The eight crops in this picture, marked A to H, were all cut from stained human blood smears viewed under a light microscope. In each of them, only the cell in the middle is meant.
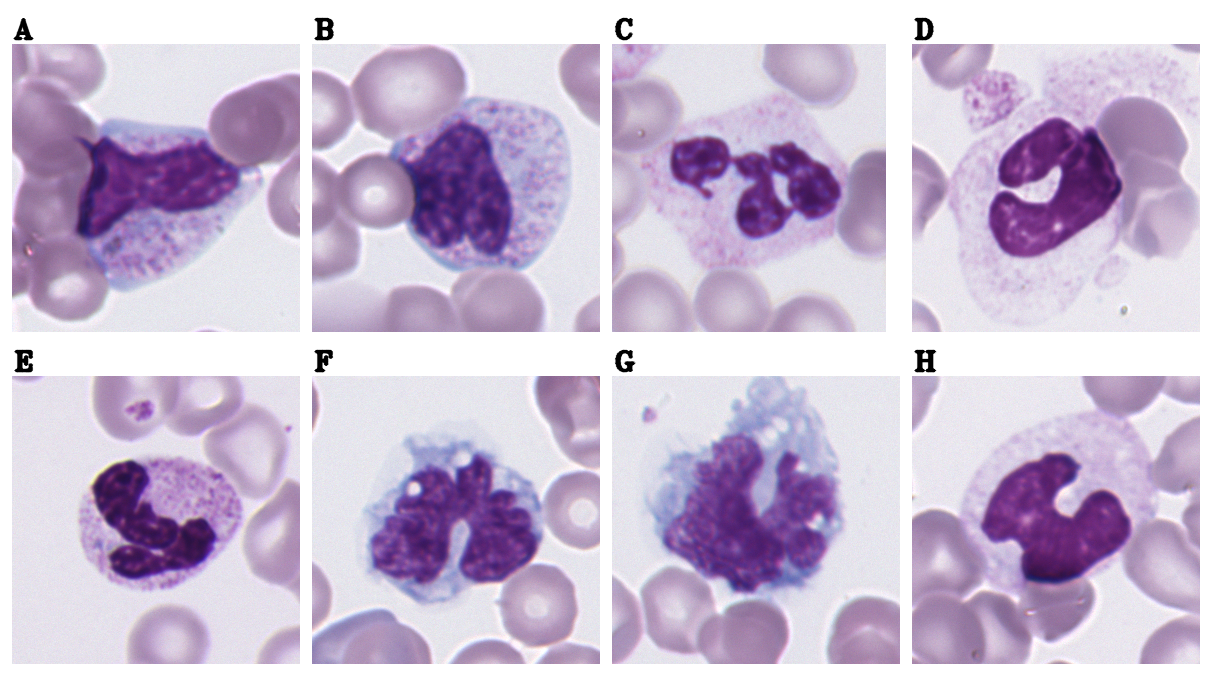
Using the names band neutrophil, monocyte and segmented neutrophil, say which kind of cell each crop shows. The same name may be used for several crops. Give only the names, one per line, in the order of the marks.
band neutrophil
band neutrophil
segmented neutrophil
band neutrophil
segmented neutrophil
monocyte
monocyte
band neutrophil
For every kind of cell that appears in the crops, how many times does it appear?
band neutrophil: 4
segmented neutrophil: 2
monocyte: 2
